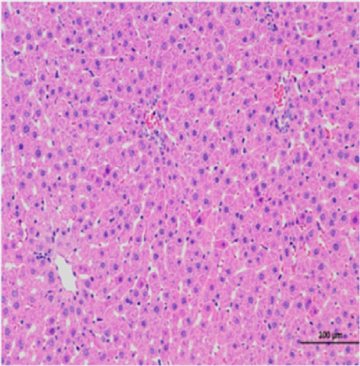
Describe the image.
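This is liver tissue made of hepatocytes arranged in plates with narrow sinusoids running between them. The hepatocytes are polygonal, with evenly pink cytoplasm and round, centrally placed purple nuclei. A vessel with an empty white lumen lies at the lower left, and small vessels with a few red blood cells appear elsewhere. Small clusters of dark nuclei are seen close to some vessels. The overall architecture is regular, with little clearing of the cytoplasm.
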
